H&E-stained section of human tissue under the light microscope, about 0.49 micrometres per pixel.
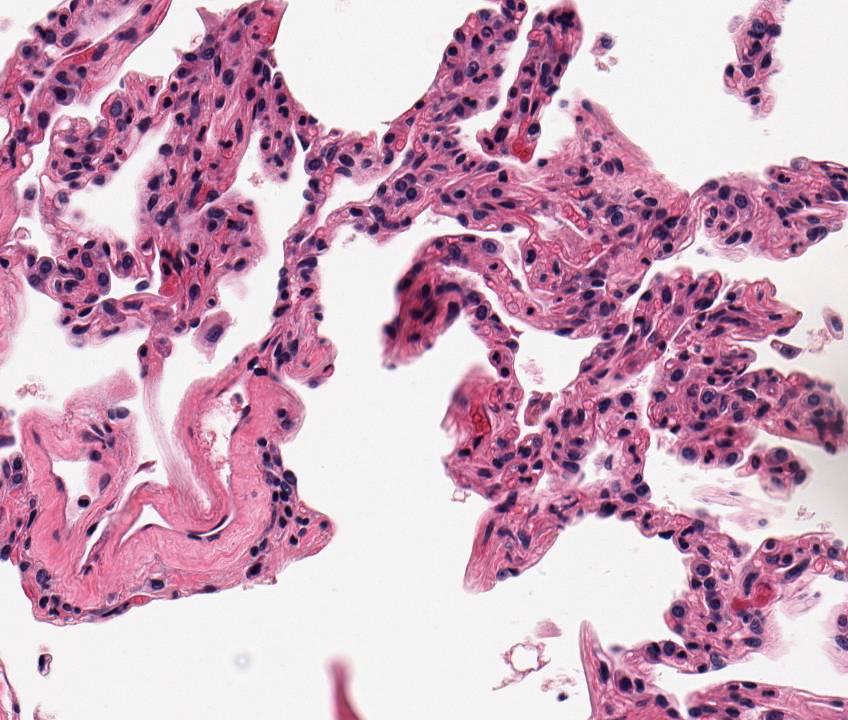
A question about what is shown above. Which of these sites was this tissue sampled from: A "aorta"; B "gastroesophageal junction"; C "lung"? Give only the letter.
C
